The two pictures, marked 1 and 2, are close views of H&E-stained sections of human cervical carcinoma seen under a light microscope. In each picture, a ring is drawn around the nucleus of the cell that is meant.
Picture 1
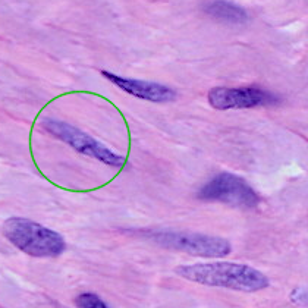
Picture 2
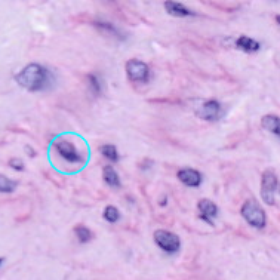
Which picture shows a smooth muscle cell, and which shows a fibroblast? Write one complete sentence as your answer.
Picture 1 shows a fibroblast and picture 2 shows a smooth muscle cell.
